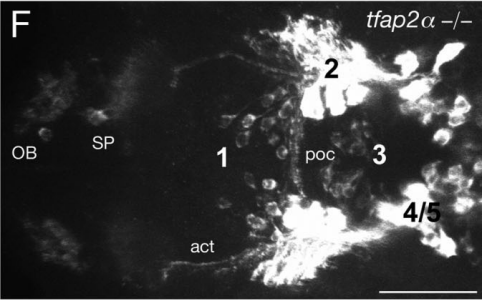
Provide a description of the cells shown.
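Bilateral clusters of strongly labelled round neuron cell bodies lie on either side of the midline, with fainter rounder cells between and anterior to them. Fibres from the clusters cross the midline as a commissure and other fibres run forward toward dimmer cell groups at the anterior end.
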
